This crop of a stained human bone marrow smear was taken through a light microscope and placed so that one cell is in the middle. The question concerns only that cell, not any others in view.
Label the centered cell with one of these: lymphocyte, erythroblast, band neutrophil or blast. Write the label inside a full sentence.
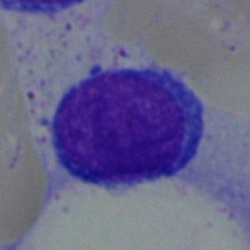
Whatever else lies nearby, the middle cell is a blast.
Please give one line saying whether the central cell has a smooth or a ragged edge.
The cell is bounded by a ragged or projection-bearing margin rather than a smooth one.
